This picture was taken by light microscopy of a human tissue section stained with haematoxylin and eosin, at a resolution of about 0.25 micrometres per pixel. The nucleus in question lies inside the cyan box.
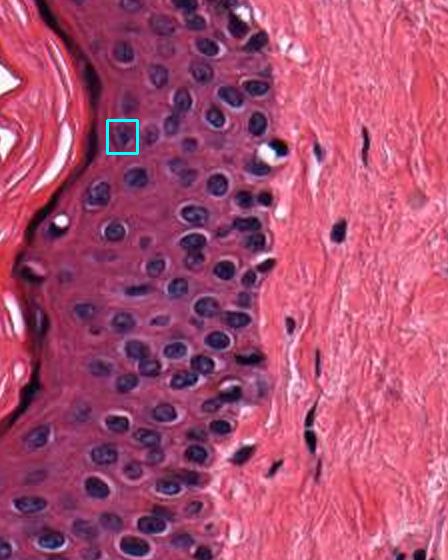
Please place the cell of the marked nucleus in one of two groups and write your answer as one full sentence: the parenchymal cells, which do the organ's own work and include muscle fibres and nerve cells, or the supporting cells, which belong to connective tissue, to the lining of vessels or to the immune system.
The nucleus that is marked belongs to a parenchymal cell, namely a keratinocyte.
